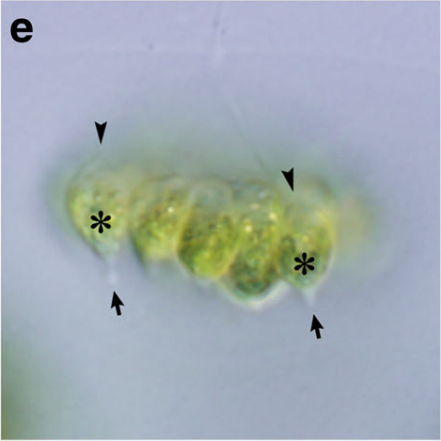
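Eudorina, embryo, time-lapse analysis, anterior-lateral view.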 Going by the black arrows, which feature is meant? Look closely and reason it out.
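The arrows point to thin, pale projections extending from the ends of two green cells. The projections arise at the green, chloroplast-filled ends of the cells.
Hence: stalks.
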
